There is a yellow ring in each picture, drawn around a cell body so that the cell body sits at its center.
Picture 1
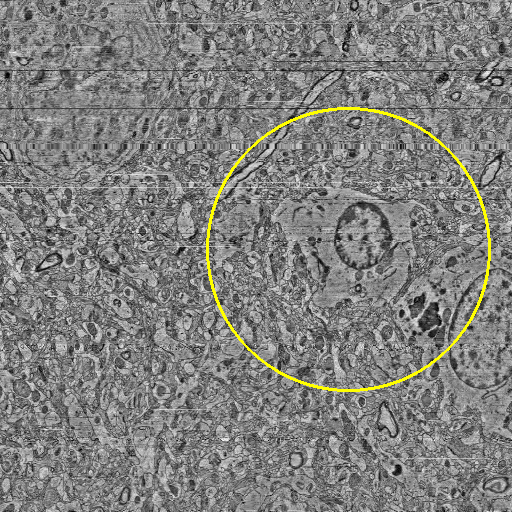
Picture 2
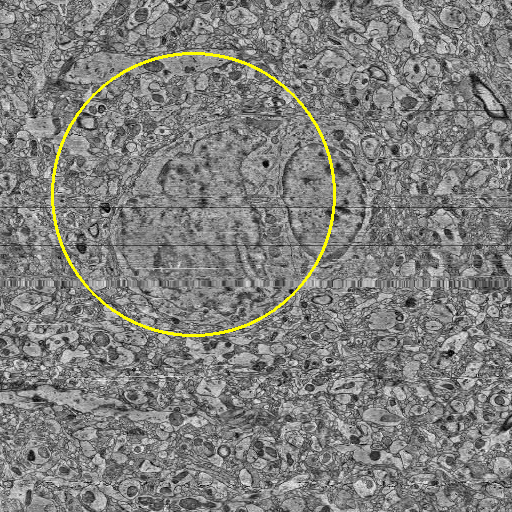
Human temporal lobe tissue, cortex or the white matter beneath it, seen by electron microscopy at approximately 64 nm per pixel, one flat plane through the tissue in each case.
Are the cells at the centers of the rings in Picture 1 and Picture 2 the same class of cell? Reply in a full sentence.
No, the two cells are two classes of cell.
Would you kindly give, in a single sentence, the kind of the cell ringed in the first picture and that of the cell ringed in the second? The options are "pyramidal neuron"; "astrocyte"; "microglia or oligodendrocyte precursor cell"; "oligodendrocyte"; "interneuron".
The second cell is an interneuron, and the first cell is an astrocyte.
